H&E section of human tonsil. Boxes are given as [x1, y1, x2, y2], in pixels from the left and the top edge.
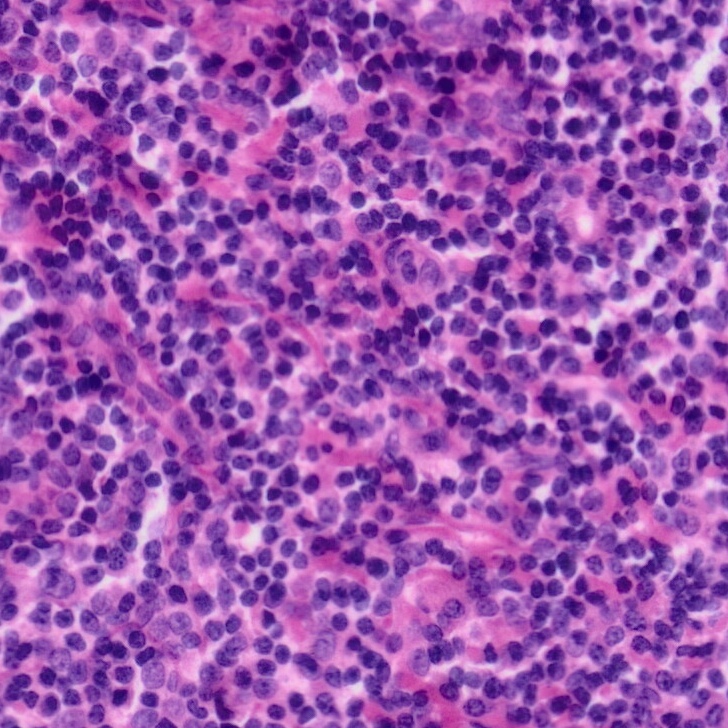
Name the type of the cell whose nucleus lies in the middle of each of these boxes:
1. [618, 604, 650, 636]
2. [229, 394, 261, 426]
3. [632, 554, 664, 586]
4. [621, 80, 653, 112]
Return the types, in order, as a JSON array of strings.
["plasma cell", "small lymphocyte", "small lymphocyte", "small lymphocyte"]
